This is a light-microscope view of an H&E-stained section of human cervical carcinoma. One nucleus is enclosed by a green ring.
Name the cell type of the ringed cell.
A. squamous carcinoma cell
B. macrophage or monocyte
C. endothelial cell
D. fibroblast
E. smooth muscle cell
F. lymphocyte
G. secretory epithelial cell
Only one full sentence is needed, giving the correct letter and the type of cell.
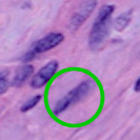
Option D gets it right: the ringed cell is a fibroblast.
